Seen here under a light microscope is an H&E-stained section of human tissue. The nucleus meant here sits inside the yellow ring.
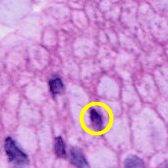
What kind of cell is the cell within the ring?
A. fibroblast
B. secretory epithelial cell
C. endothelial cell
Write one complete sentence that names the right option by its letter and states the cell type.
Option B names it right: the cell within the ring is a secretory epithelial cell.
